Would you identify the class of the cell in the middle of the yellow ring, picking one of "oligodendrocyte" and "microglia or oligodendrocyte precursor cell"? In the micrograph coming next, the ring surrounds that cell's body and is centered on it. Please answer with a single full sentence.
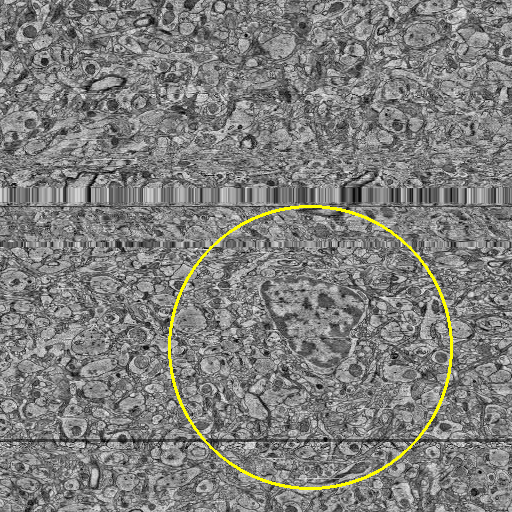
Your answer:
In the micrograph, it is a microglial cell or oligodendrocyte precursor cell whose body lies at the ring's center.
